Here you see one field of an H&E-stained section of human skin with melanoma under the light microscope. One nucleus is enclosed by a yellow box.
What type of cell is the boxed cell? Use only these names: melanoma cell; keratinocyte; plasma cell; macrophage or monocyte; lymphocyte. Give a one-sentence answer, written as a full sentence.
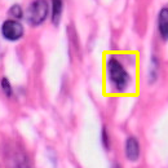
In the tissue under study, the boxed cell is a plasma cell.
